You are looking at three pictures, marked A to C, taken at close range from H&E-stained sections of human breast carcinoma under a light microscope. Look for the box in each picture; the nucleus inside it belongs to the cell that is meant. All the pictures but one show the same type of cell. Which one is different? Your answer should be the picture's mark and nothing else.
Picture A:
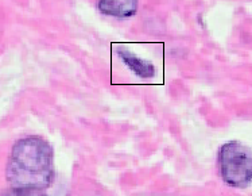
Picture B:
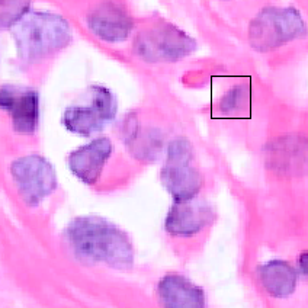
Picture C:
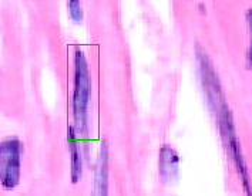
A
